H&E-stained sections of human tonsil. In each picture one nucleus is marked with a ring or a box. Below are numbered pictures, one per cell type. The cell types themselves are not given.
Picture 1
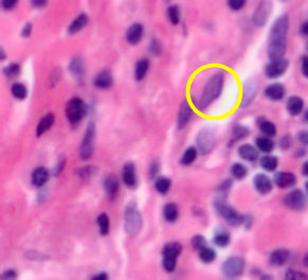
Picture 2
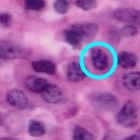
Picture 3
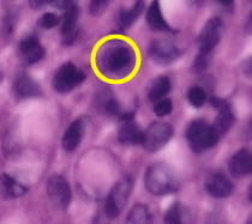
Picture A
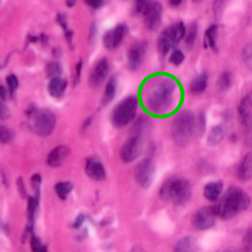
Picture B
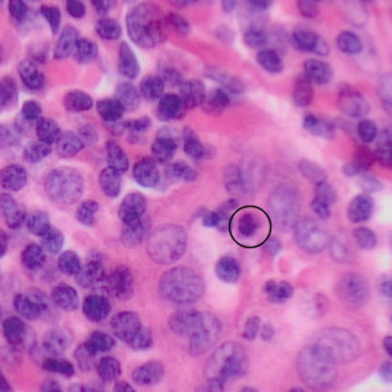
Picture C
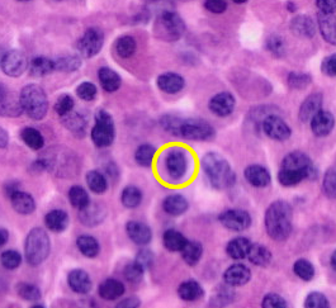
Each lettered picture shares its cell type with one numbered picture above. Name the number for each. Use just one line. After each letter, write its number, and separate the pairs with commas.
A 3, B 1, C 2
